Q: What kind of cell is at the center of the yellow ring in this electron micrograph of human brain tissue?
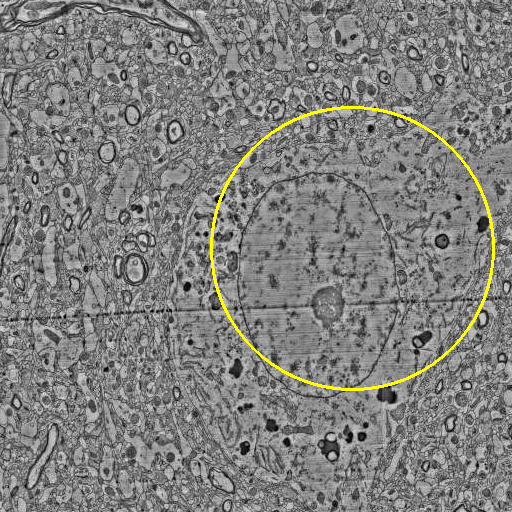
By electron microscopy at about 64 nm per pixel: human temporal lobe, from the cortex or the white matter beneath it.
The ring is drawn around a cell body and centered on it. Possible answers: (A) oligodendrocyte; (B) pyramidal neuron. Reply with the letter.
B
